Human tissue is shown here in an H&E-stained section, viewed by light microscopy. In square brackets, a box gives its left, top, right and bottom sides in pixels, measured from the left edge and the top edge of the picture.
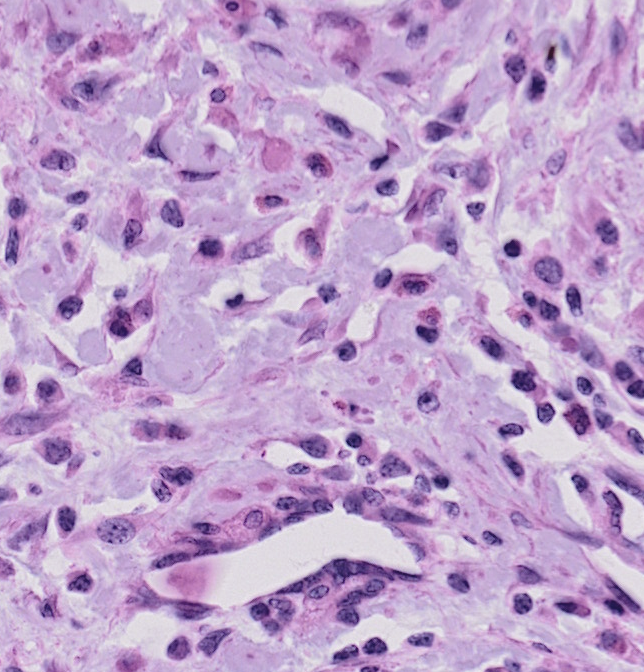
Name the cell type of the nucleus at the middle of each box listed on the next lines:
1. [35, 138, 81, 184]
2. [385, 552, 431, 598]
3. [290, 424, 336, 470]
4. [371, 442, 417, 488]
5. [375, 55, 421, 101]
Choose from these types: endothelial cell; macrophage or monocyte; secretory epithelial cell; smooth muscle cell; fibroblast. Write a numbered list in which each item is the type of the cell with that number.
1. macrophage or monocyte
2. endothelial cell
3. macrophage or monocyte
4. macrophage or monocyte
5. fibroblast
